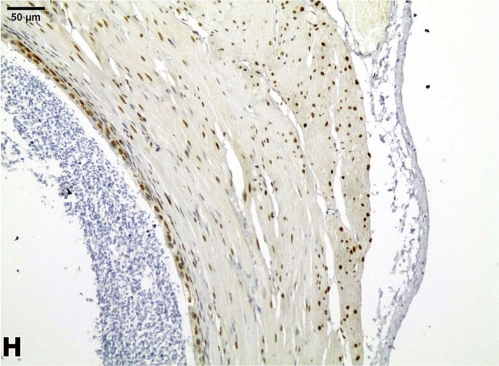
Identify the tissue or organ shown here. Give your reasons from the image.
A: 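A thick wall of layered smooth muscle surrounds a lumen. A thin epithelial lining borders the lumen. The answer: vas deferens.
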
